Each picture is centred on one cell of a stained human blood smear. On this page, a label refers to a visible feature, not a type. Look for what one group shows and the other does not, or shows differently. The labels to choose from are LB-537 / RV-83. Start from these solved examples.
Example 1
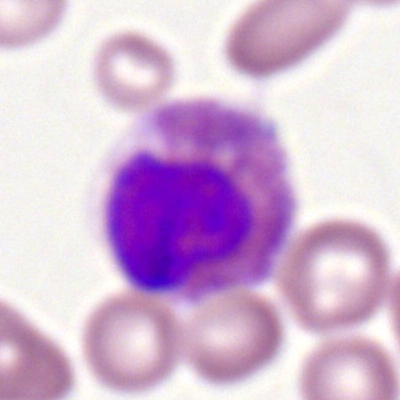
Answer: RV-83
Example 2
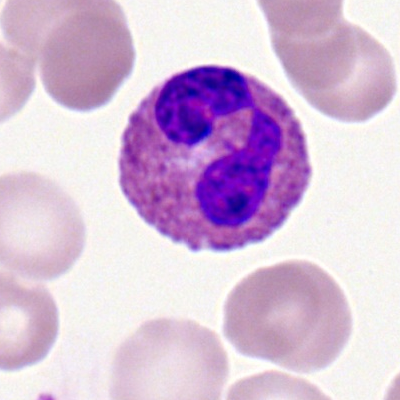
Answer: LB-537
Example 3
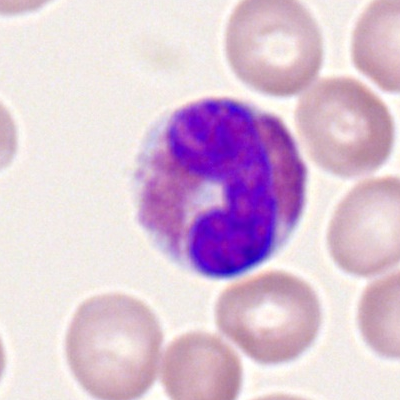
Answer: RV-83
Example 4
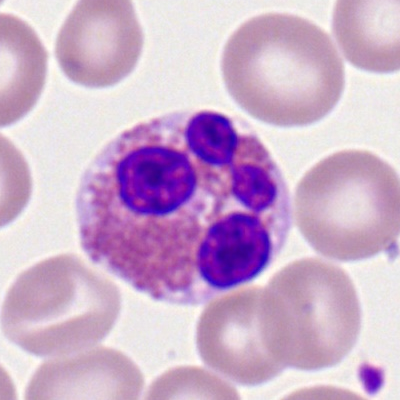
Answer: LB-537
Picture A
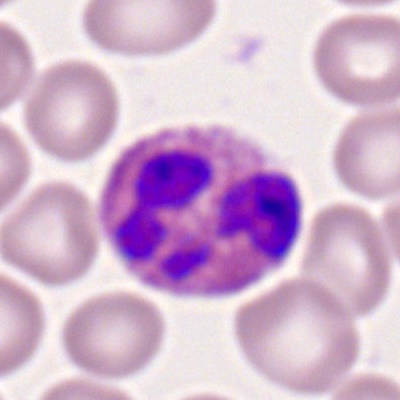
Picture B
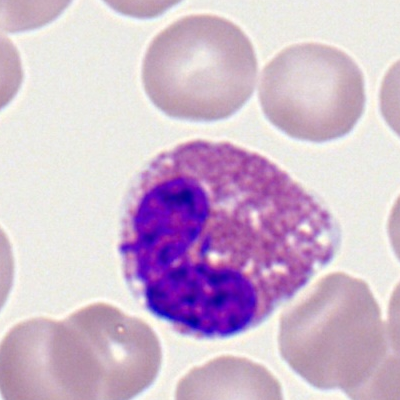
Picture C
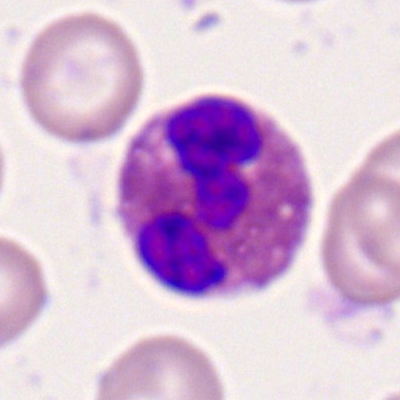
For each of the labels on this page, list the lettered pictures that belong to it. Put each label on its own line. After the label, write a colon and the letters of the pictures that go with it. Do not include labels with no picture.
LB-537: B
RV-83: A, C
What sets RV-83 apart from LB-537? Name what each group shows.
RV-83: fine or small granules; LB-537: coarse or large granules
